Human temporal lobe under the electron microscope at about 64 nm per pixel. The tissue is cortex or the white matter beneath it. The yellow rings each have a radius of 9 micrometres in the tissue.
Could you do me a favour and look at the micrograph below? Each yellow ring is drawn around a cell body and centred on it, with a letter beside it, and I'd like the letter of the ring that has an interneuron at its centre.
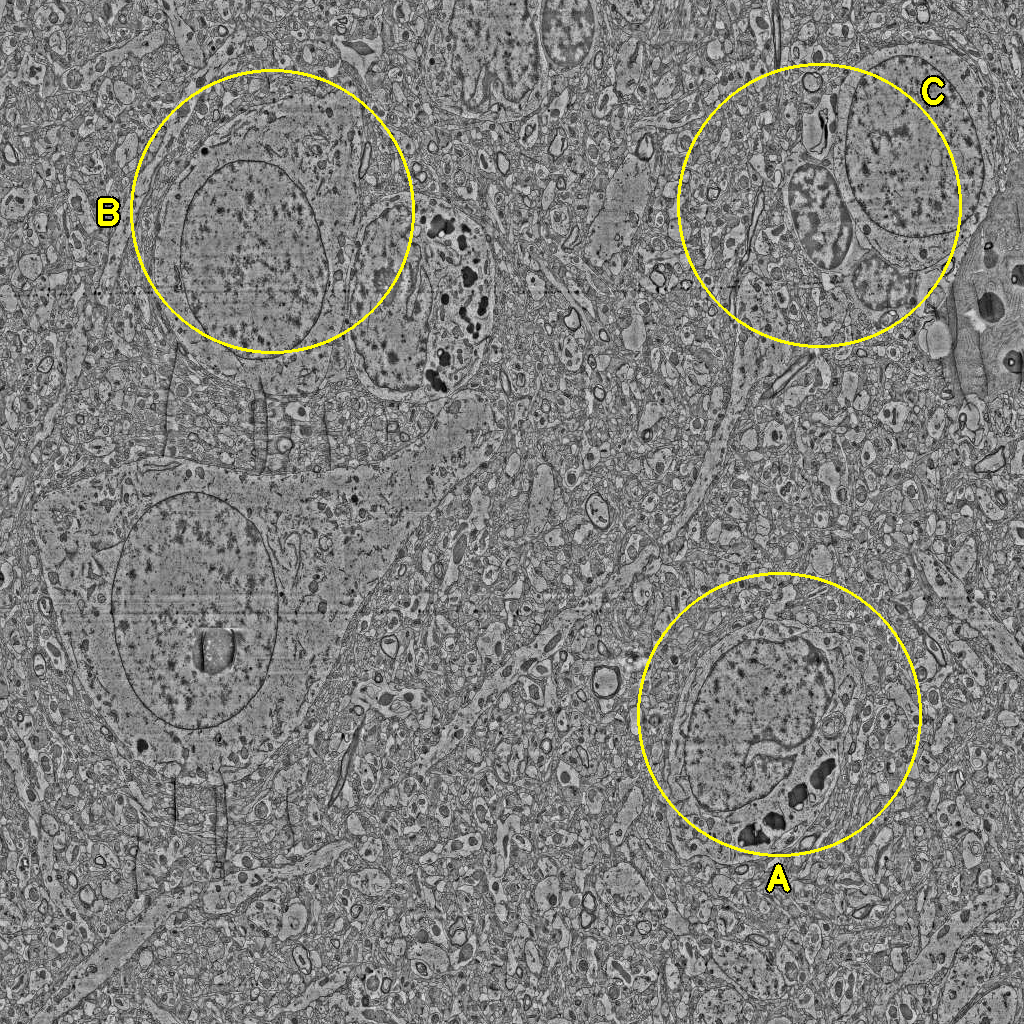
A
